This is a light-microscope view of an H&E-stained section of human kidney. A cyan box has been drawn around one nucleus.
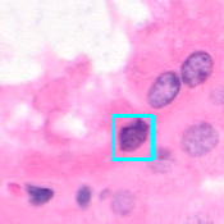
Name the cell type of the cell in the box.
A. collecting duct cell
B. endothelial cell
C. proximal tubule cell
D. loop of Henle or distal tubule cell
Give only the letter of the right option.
C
